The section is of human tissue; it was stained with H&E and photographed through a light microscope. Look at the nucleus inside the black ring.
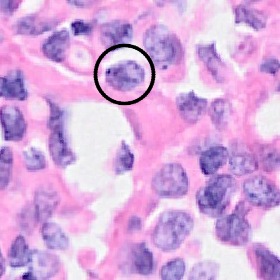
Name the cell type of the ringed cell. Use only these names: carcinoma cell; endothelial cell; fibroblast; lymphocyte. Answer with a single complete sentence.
Within the stained tissue, the ringed cell is a carcinoma cell.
